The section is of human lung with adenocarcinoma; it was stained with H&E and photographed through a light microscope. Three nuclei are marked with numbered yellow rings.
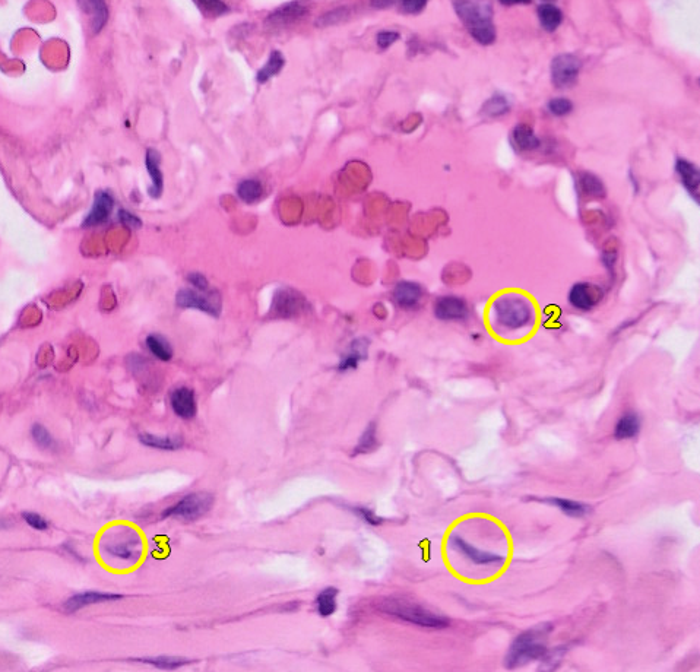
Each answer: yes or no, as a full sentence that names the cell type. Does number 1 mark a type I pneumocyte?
No, the cell denoted 1 is a fibroblast rather than a type I pneumocyte.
